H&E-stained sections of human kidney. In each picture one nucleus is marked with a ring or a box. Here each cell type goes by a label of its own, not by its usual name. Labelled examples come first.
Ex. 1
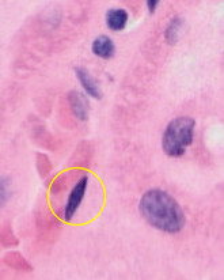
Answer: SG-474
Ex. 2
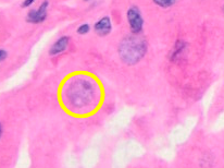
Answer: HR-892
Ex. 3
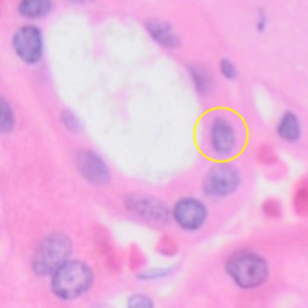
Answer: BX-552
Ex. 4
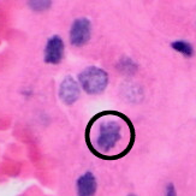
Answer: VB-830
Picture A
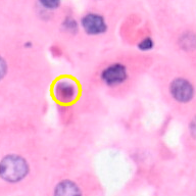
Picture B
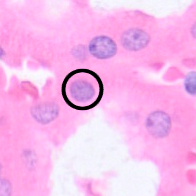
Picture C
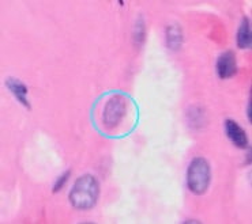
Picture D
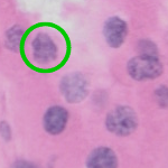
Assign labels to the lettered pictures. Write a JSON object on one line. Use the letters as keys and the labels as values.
{"A": "SG-474", "B": "HR-892", "C": "VB-830", "D": "VB-830"}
